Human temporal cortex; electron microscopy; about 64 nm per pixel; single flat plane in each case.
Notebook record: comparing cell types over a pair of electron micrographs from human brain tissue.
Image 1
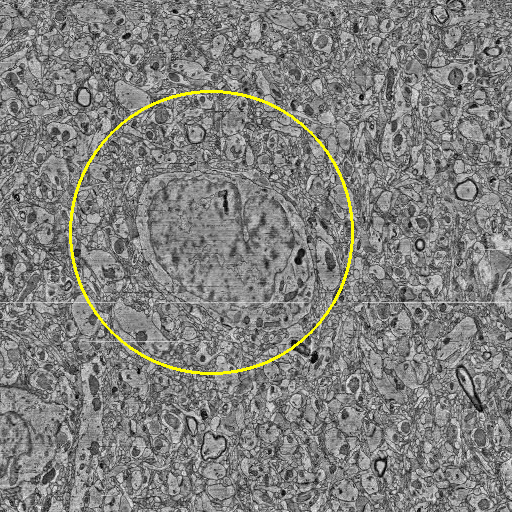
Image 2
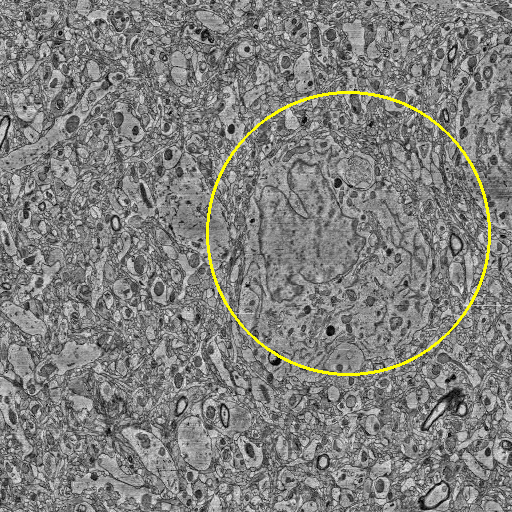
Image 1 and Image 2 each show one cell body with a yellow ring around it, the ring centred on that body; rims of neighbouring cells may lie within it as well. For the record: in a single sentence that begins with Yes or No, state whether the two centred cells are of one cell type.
Yes, one cell type is shared by the centred cells of Image 1 and Image 2.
